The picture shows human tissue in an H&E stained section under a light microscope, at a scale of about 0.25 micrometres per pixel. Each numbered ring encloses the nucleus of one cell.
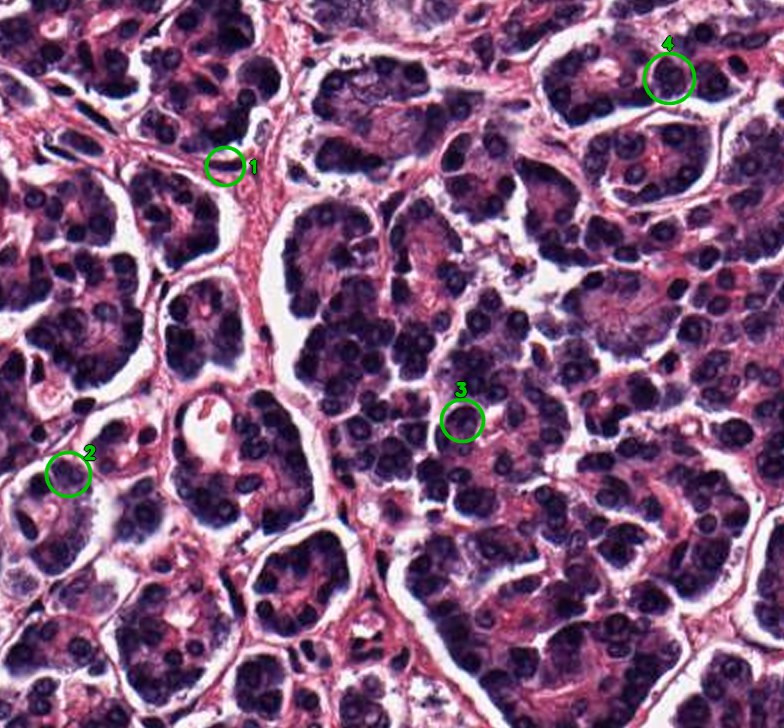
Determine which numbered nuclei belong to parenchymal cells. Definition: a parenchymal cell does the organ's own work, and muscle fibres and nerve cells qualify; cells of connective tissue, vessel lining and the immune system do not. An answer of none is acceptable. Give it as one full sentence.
The nuclei identified by the numbers 2, 3 and 4 belong to parenchymal cells.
